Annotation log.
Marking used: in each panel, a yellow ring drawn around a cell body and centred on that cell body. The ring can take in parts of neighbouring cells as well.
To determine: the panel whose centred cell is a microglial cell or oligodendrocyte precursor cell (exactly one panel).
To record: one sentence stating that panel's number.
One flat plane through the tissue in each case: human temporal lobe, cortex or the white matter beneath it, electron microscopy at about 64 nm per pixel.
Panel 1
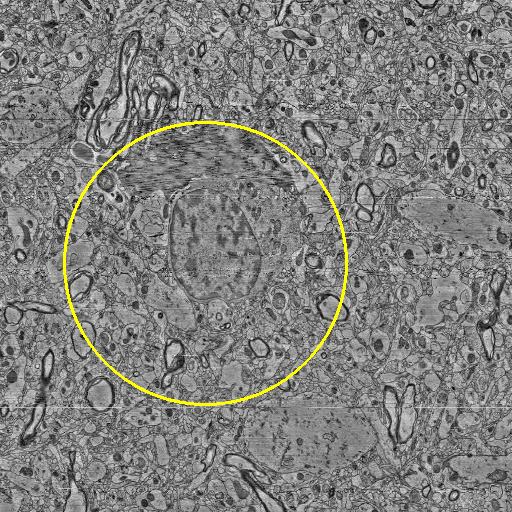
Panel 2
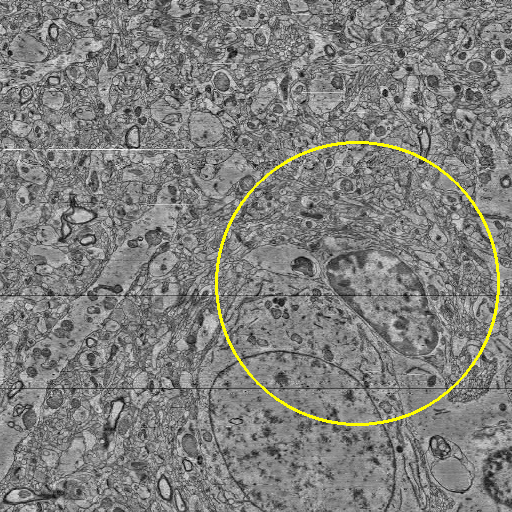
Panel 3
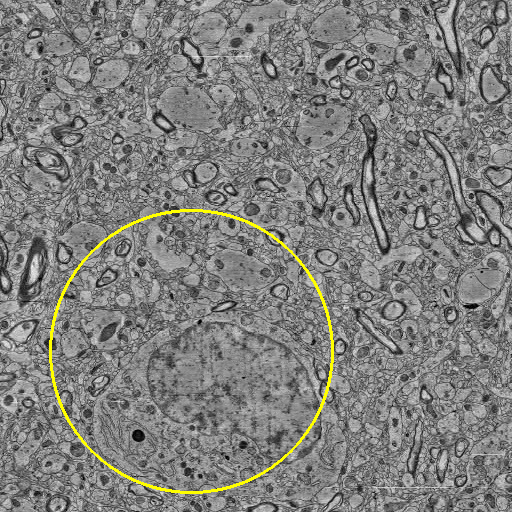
Panel 2 shows it at the centre of its ring.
